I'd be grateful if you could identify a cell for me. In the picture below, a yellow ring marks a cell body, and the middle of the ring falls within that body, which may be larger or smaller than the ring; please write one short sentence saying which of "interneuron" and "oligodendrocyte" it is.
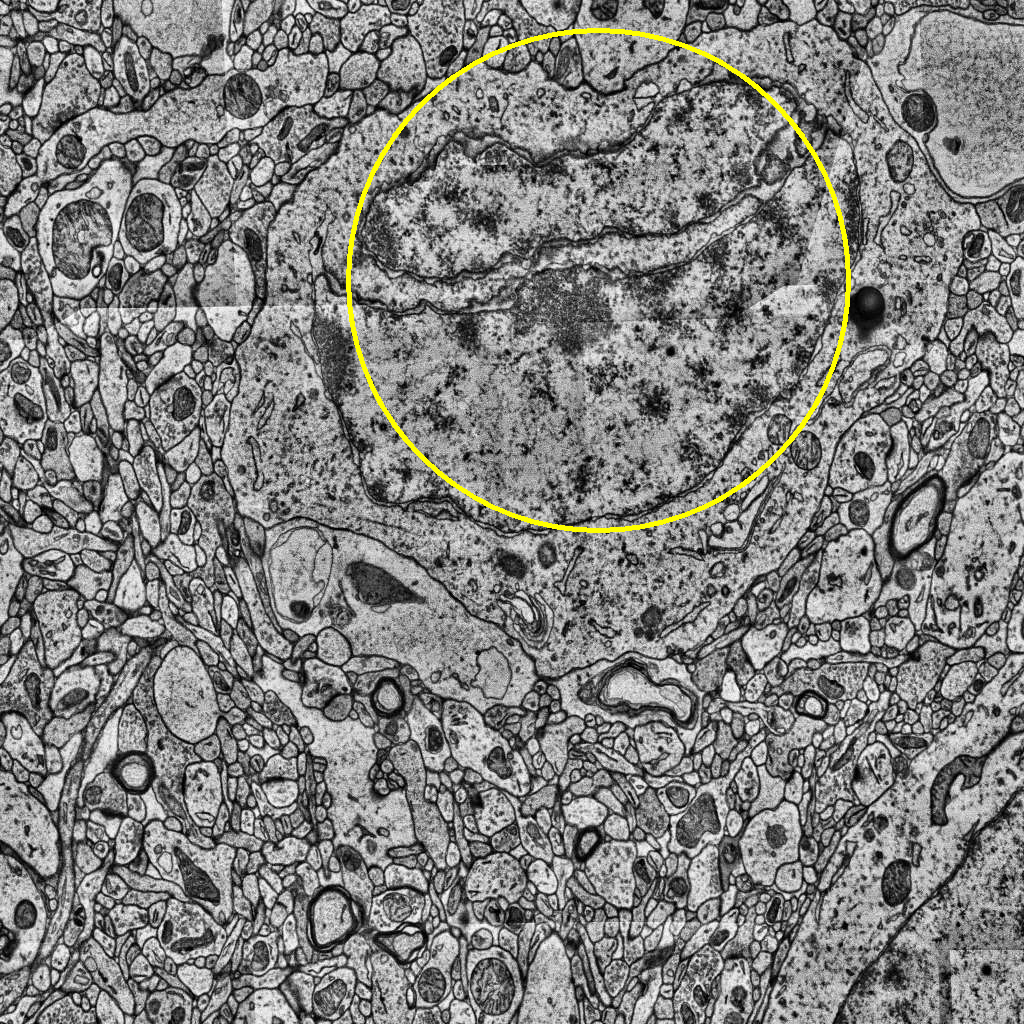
The cell under the ring's centre is an interneuron.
